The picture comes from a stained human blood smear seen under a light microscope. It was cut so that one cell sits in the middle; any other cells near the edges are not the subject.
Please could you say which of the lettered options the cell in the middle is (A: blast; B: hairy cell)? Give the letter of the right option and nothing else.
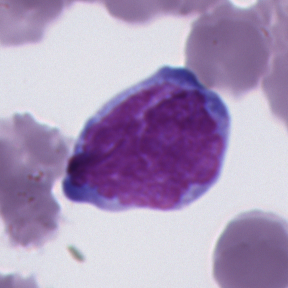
A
